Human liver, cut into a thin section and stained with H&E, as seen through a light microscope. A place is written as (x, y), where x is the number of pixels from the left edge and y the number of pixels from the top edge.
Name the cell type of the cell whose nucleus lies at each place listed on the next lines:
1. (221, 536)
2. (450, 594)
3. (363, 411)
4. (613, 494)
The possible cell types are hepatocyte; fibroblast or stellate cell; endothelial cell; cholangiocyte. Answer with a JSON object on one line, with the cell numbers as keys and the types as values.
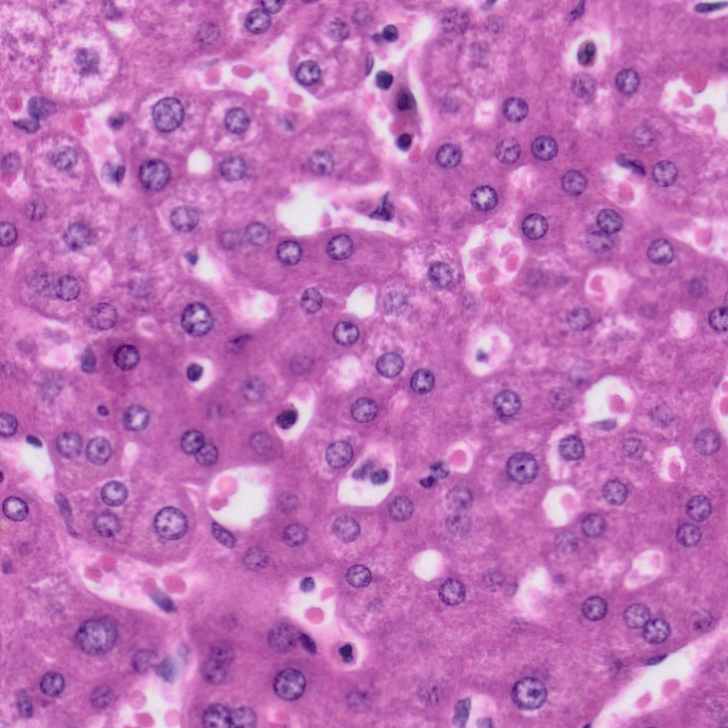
{"1": "fibroblast or stellate cell", "2": "hepatocyte", "3": "hepatocyte", "4": "hepatocyte"}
